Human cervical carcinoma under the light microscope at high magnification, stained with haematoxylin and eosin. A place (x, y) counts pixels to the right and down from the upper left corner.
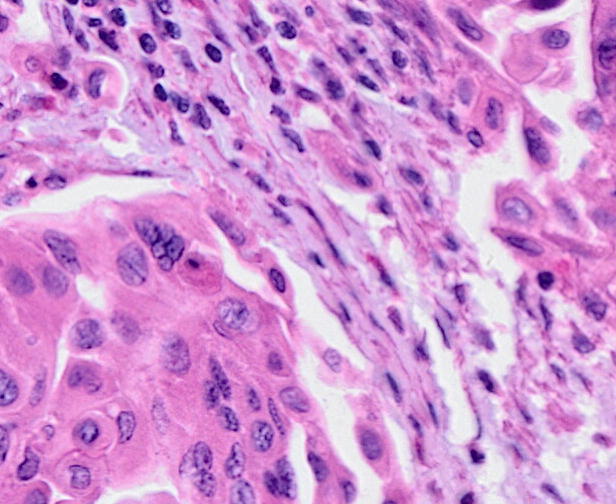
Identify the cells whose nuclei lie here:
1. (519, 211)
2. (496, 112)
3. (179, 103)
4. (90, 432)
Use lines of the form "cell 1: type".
cell 1: squamous carcinoma cell
cell 2: squamous carcinoma cell
cell 3: lymphocyte
cell 4: squamous carcinoma cell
